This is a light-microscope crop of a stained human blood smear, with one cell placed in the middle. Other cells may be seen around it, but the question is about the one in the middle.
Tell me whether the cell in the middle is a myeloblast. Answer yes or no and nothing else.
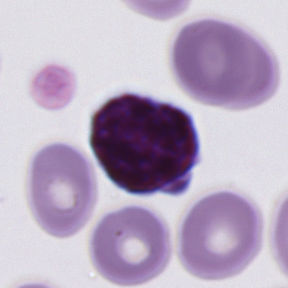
yes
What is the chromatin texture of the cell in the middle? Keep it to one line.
What stands out is chromatin that is coarsely clumped.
